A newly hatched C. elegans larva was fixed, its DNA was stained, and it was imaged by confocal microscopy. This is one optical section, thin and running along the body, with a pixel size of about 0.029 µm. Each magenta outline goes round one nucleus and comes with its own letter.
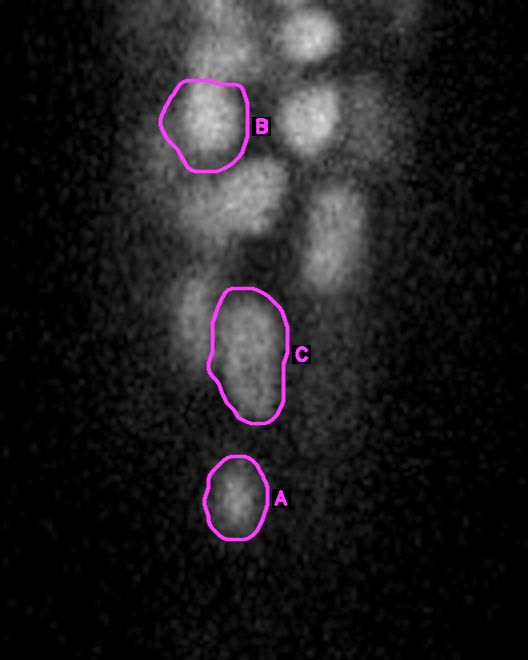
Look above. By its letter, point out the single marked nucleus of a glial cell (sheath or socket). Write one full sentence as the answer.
B is the nucleus of a glial cell (sheath or socket).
